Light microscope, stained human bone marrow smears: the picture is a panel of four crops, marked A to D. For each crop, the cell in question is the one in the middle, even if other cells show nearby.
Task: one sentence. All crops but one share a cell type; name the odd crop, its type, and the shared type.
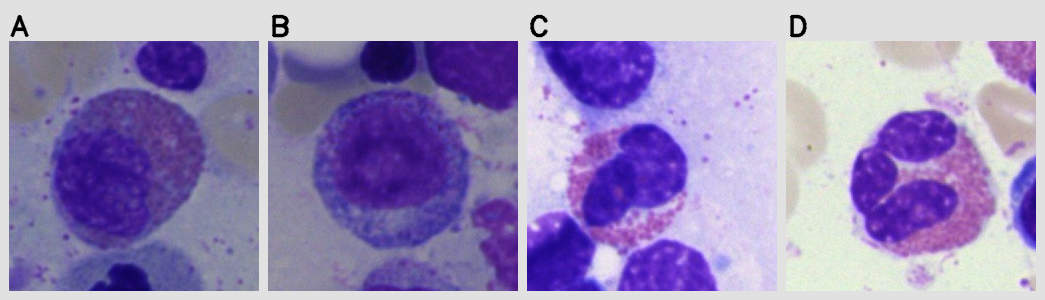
Crop B is singled out as a promyelocyte, and all of the other crops show eosinophils.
